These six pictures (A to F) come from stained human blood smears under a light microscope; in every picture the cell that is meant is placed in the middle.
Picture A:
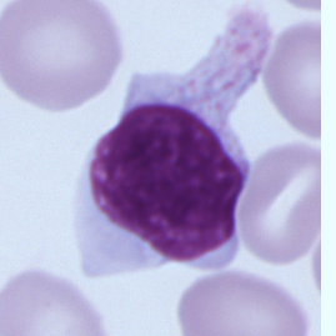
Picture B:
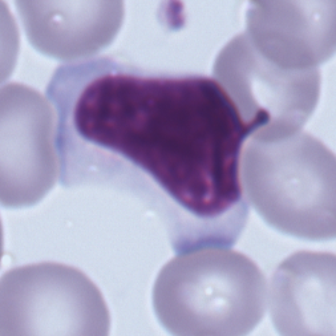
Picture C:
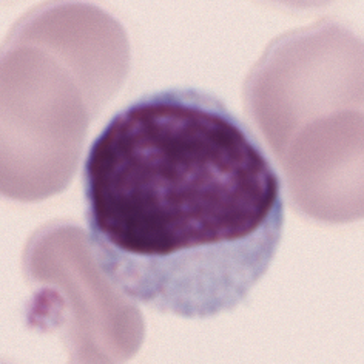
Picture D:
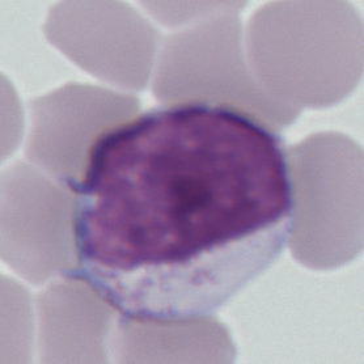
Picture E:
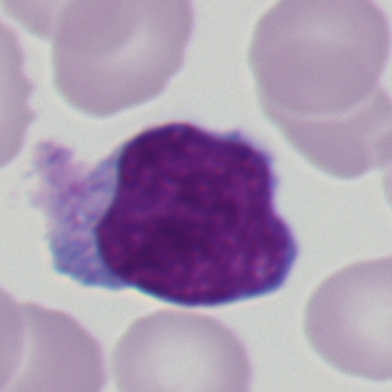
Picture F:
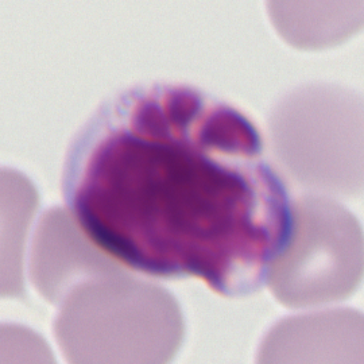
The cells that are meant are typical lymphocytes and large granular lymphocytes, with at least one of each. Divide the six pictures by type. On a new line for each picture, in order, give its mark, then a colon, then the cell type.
A: large granular lymphocyte
B: typical lymphocyte
C: typical lymphocyte
D: large granular lymphocyte
E: typical lymphocyte
F: large granular lymphocyte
